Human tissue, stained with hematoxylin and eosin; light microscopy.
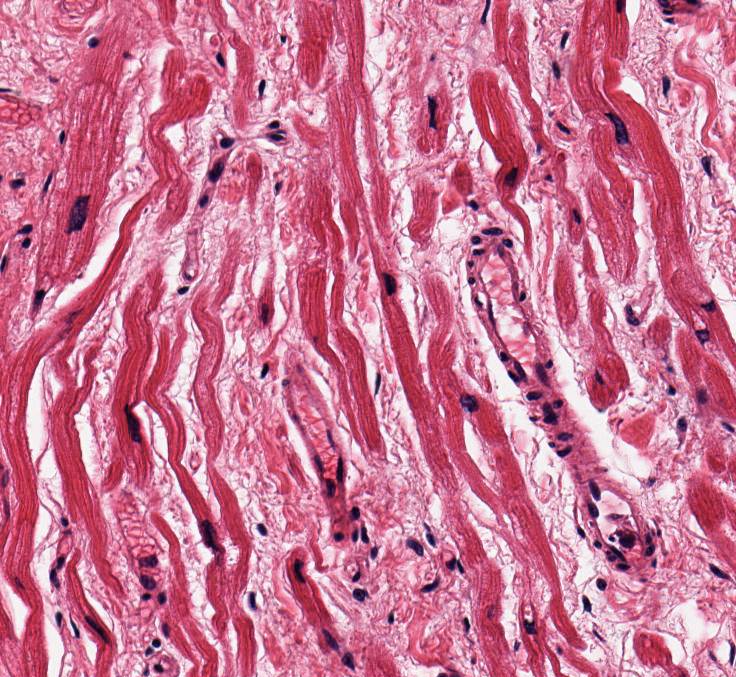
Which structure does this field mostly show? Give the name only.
myocardium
